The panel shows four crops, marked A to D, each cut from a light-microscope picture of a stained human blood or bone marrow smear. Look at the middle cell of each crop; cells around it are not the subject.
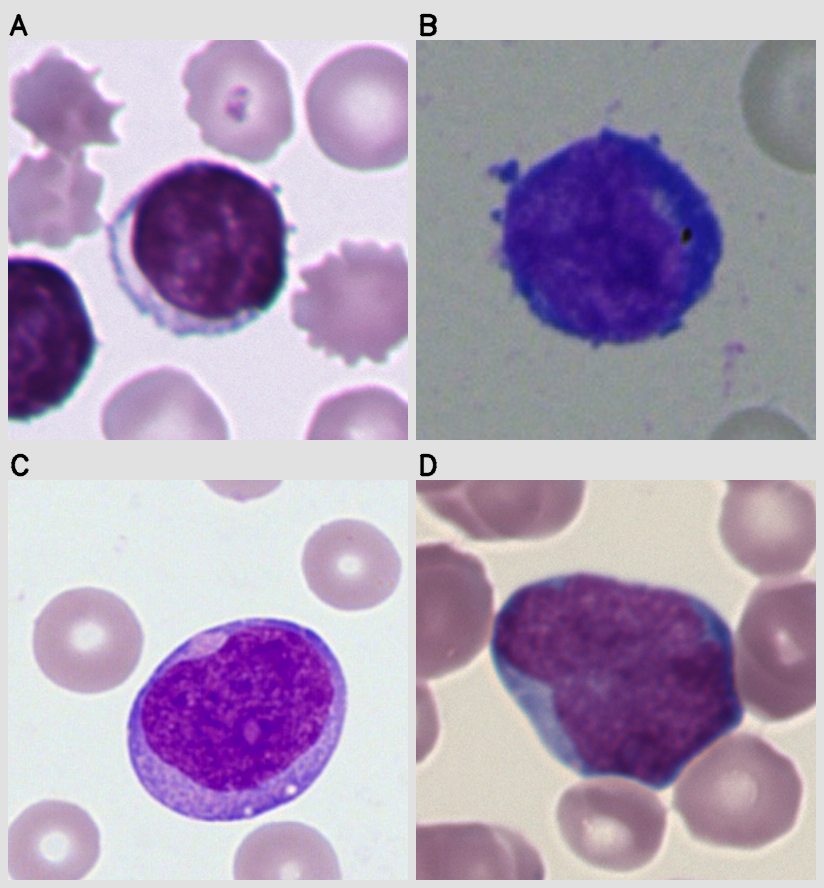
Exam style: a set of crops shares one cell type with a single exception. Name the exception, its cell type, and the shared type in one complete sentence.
Crop A shows a lymphocyte; by contrast, all the other crops show blasts.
